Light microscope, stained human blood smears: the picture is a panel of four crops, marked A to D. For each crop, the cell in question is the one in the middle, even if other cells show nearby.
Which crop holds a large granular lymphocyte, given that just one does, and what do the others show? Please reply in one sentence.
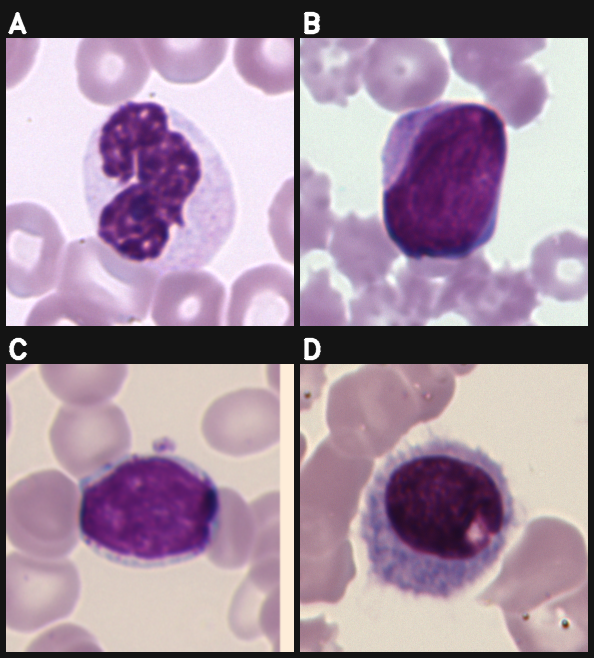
Regarding crop C, it shows a large granular lymphocyte, while crop A is a segmented neutrophil, crop B is a myeloblast and crop D is a hairy cell.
